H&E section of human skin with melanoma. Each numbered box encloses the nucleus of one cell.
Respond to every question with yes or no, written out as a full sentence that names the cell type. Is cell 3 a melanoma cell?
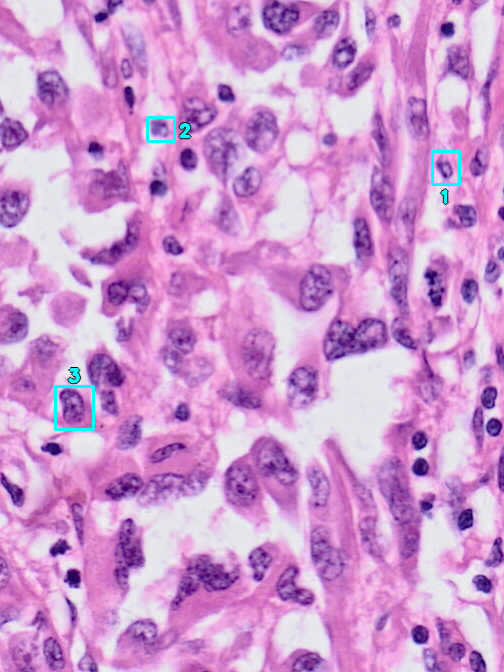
Yes, the cell marked by the number 3 is a melanoma cell.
